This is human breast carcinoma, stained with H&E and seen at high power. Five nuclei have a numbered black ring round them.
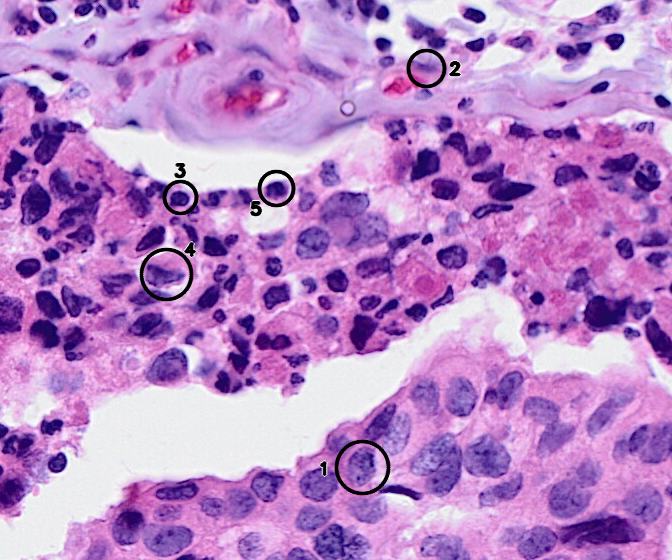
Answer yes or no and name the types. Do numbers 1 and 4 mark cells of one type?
Yes, cells 1 and 4 are both carcinoma cells and thus of one type.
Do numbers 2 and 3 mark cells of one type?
No, the cell at number 2 is an endothelial cell, and the cell at number 3 is a lymphocyte.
